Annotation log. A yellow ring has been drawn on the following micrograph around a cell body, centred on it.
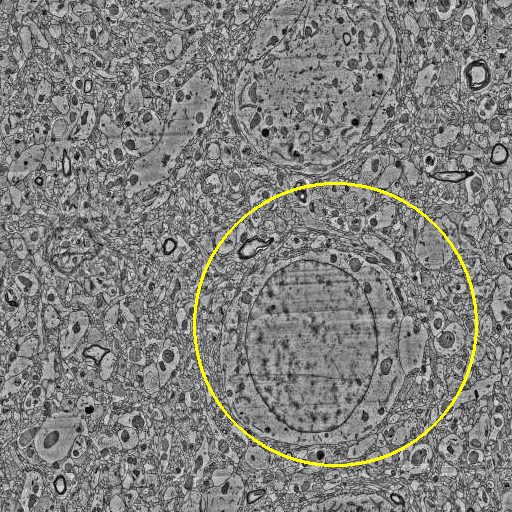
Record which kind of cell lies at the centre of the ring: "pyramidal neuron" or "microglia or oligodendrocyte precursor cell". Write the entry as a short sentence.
The cell the ring is centred on is a pyramidal neuron.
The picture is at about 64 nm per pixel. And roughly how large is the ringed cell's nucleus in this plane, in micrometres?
The nucleus is approximately 11 micrometers long by 9 micrometers wide in this plane.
